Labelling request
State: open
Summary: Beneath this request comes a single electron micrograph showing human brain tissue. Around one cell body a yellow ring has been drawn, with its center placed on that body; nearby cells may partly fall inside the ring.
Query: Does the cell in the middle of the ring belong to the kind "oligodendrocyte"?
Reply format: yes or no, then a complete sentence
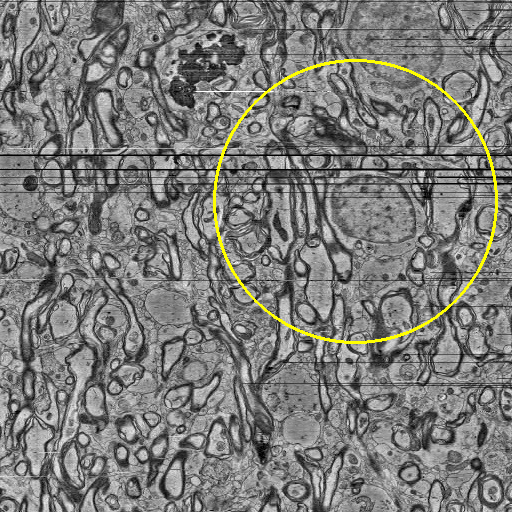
No, the cell sitting at the center of the ring in this picture is of a different kind.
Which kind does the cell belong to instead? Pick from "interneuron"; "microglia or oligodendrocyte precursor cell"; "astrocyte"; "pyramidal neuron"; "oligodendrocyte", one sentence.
The ringed cell in this picture is, instead, a microglial cell or oligodendrocyte precursor cell.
